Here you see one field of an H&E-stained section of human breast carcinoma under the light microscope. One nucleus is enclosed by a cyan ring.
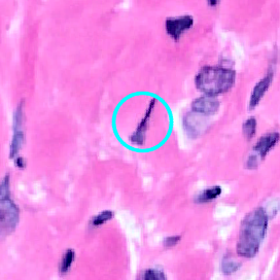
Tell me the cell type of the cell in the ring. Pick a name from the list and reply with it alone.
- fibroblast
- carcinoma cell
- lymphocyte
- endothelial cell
fibroblast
